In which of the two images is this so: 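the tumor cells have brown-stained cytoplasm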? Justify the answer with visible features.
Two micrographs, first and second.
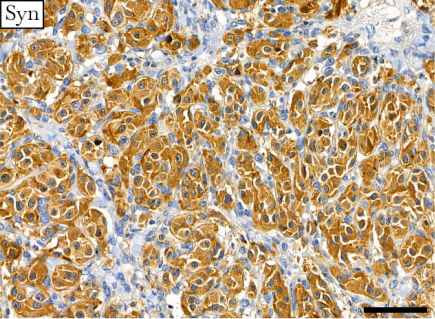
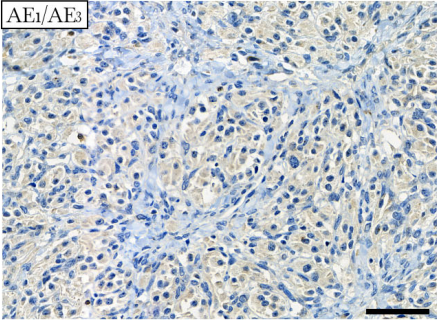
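The first image. Second image: tumor cells show only blue nuclei and pale cytoplasm, no brown stain. First image: nested tumor cells have strong brown cytoplasm.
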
